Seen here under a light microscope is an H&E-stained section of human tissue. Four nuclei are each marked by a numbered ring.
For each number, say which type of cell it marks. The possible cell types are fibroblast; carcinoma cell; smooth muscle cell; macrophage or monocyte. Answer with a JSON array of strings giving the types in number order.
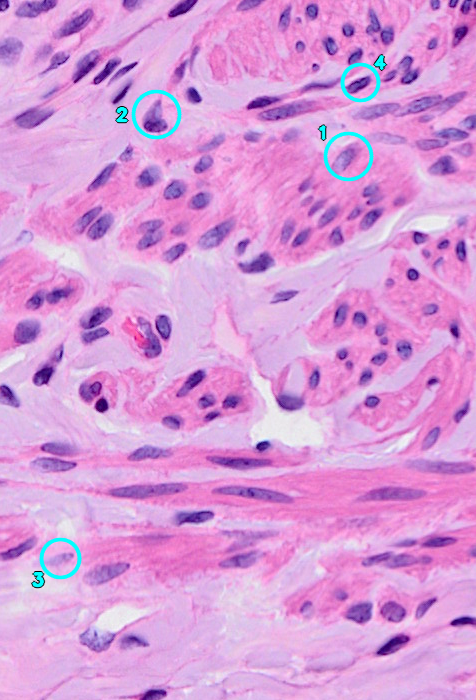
["smooth muscle cell", "fibroblast", "smooth muscle cell", "smooth muscle cell"]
